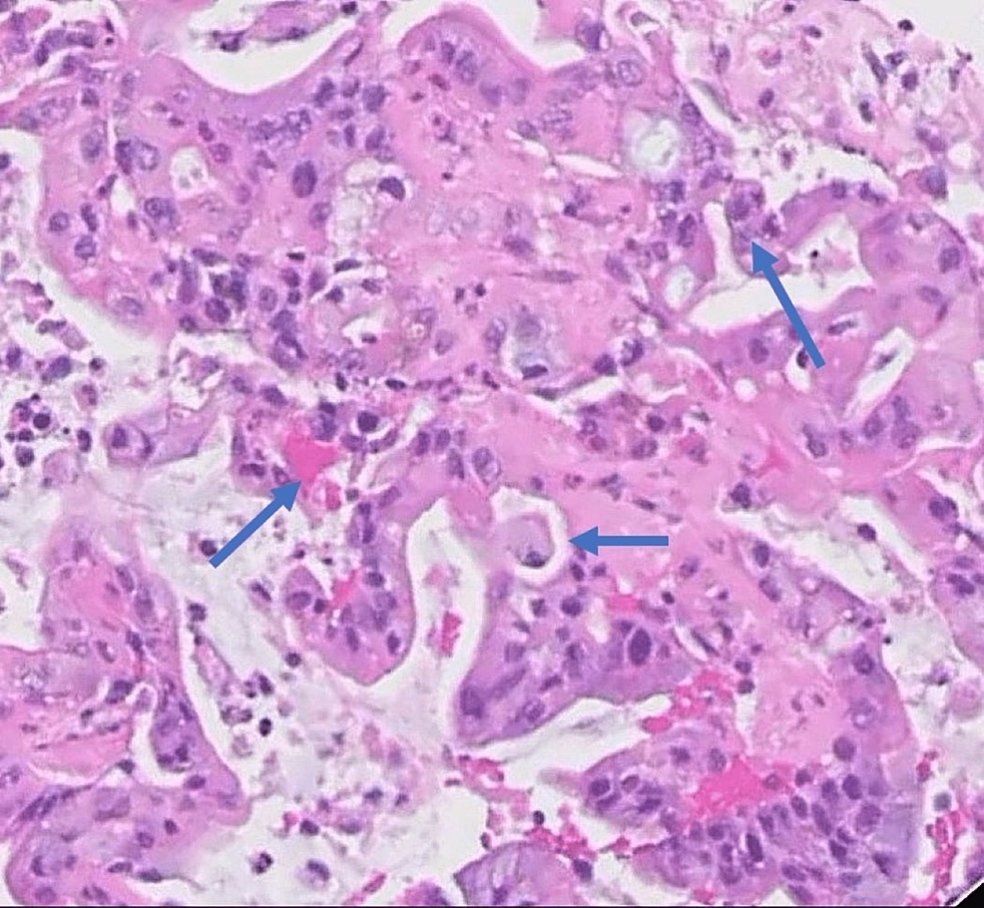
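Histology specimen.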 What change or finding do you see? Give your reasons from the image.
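Enlarged pleomorphic nuclei. Nuclei differ clearly from one another in size and shape.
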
